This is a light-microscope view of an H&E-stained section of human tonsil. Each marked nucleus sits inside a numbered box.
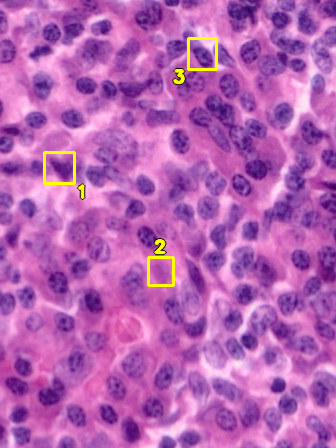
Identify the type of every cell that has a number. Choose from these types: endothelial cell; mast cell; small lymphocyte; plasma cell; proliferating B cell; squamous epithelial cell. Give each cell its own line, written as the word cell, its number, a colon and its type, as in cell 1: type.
cell 1: squamous epithelial cell
cell 2: squamous epithelial cell
cell 3: plasma cell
